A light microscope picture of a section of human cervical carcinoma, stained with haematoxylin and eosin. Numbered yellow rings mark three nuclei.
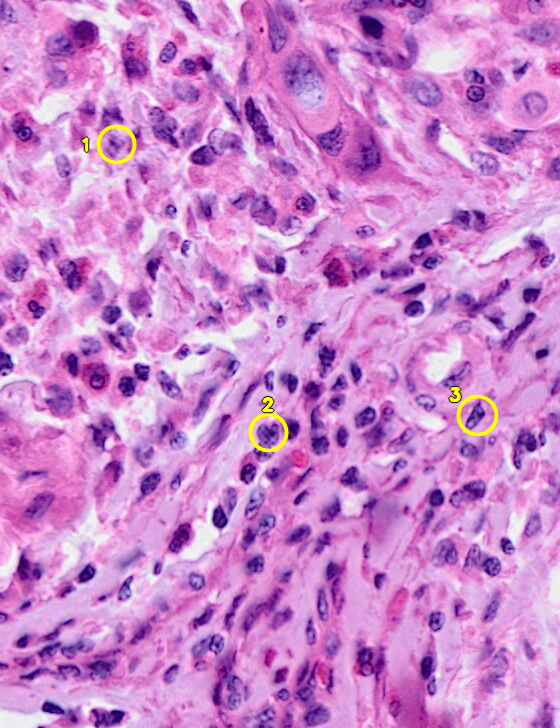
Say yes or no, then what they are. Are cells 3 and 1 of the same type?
No, cell 3 is a lymphocyte and cell 1 is a fibroblast.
